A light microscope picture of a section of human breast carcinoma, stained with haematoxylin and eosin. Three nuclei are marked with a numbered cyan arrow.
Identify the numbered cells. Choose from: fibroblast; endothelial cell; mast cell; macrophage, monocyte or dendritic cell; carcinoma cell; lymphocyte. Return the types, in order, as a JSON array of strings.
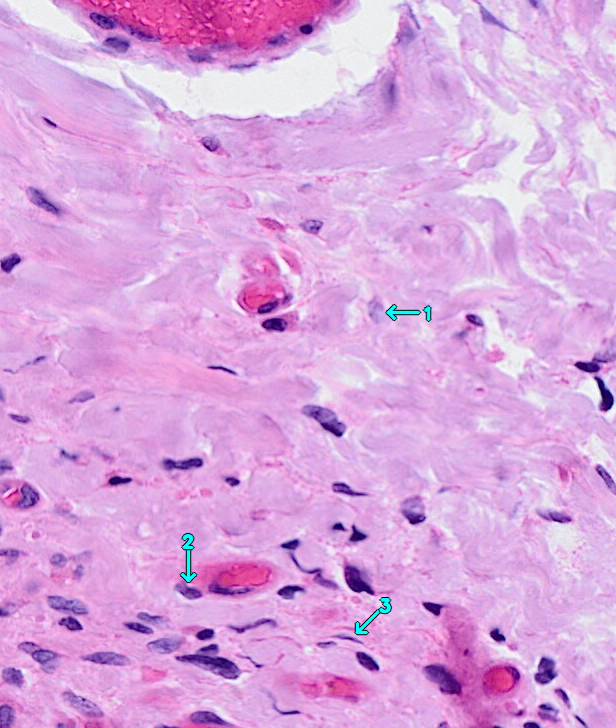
["fibroblast", "endothelial cell", "fibroblast"]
